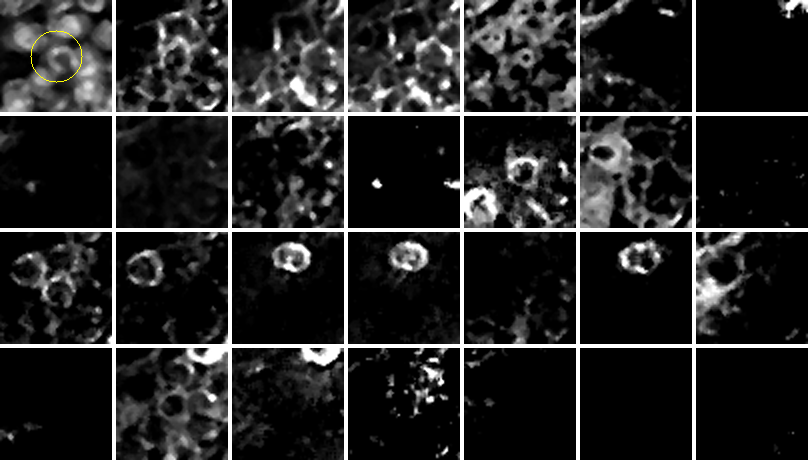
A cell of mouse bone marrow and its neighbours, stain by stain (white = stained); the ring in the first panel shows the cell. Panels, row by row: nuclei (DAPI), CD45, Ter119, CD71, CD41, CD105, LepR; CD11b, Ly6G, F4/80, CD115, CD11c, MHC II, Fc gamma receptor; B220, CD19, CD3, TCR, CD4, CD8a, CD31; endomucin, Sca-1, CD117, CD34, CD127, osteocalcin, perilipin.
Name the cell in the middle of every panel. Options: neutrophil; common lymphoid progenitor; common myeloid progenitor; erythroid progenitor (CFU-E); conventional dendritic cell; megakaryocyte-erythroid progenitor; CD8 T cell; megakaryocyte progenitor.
conventional dendritic cell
